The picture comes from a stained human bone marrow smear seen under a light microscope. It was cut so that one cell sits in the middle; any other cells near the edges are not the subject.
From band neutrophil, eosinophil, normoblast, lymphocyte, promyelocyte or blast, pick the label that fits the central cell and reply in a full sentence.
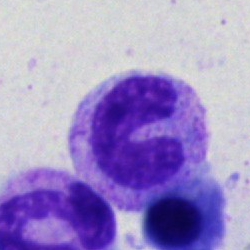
The cell at the middle of the crop is recognized as a band neutrophil.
